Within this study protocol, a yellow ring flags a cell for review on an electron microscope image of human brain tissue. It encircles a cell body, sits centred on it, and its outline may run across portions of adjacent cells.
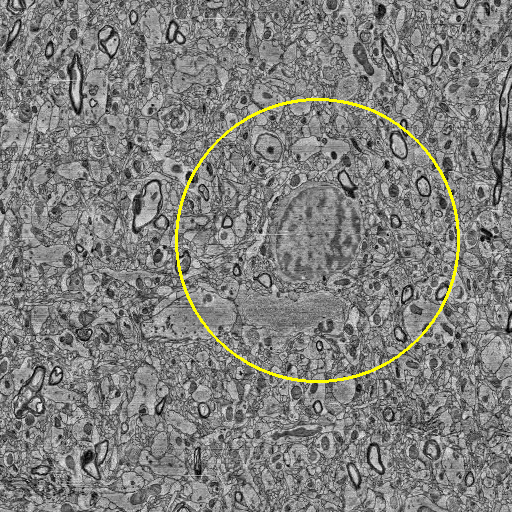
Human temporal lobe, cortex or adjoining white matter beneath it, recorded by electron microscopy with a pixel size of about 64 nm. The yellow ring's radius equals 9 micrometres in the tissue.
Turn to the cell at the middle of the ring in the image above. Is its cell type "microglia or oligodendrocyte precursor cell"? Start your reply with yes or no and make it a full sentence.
No, the cell at the ring's centre in the image above has another cell type.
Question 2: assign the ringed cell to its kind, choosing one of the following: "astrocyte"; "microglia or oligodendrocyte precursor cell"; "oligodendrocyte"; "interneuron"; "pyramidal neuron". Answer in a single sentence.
The cell shown in the ring is an oligodendrocyte.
